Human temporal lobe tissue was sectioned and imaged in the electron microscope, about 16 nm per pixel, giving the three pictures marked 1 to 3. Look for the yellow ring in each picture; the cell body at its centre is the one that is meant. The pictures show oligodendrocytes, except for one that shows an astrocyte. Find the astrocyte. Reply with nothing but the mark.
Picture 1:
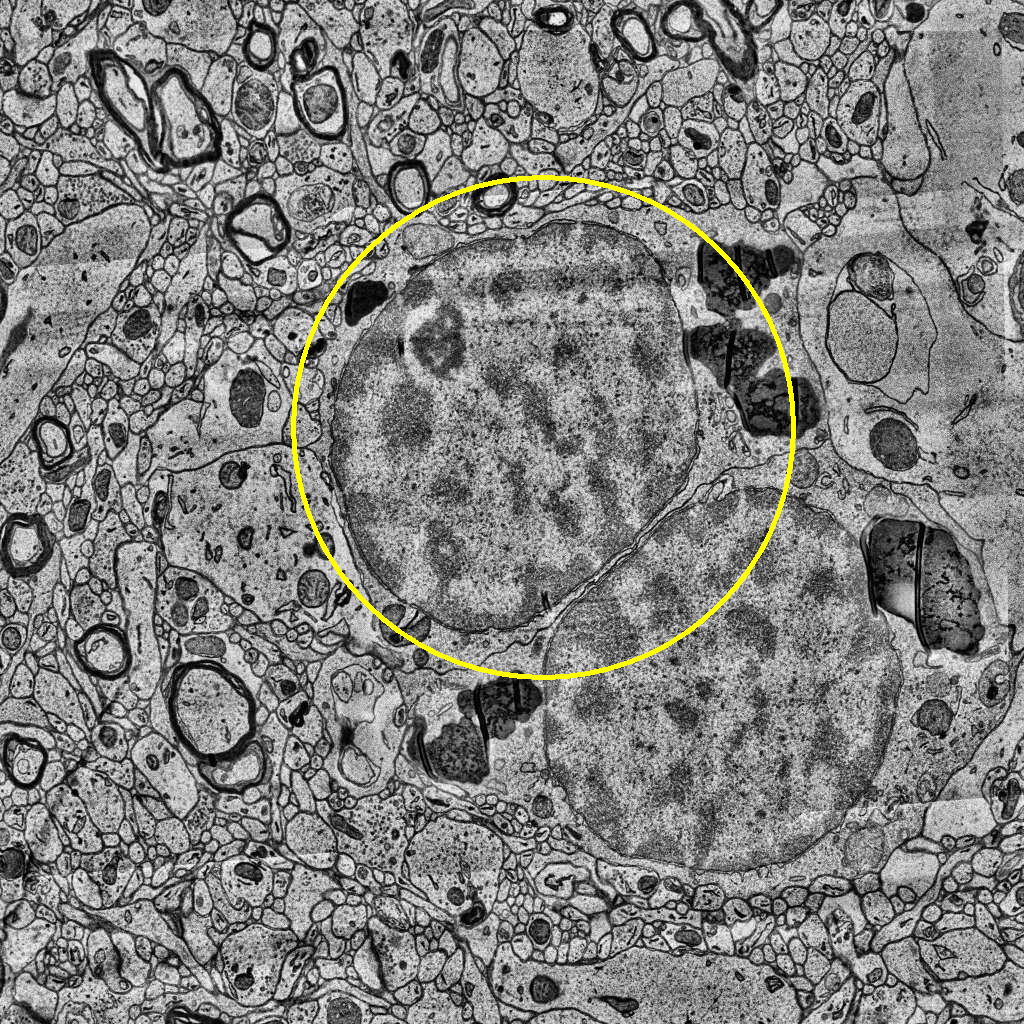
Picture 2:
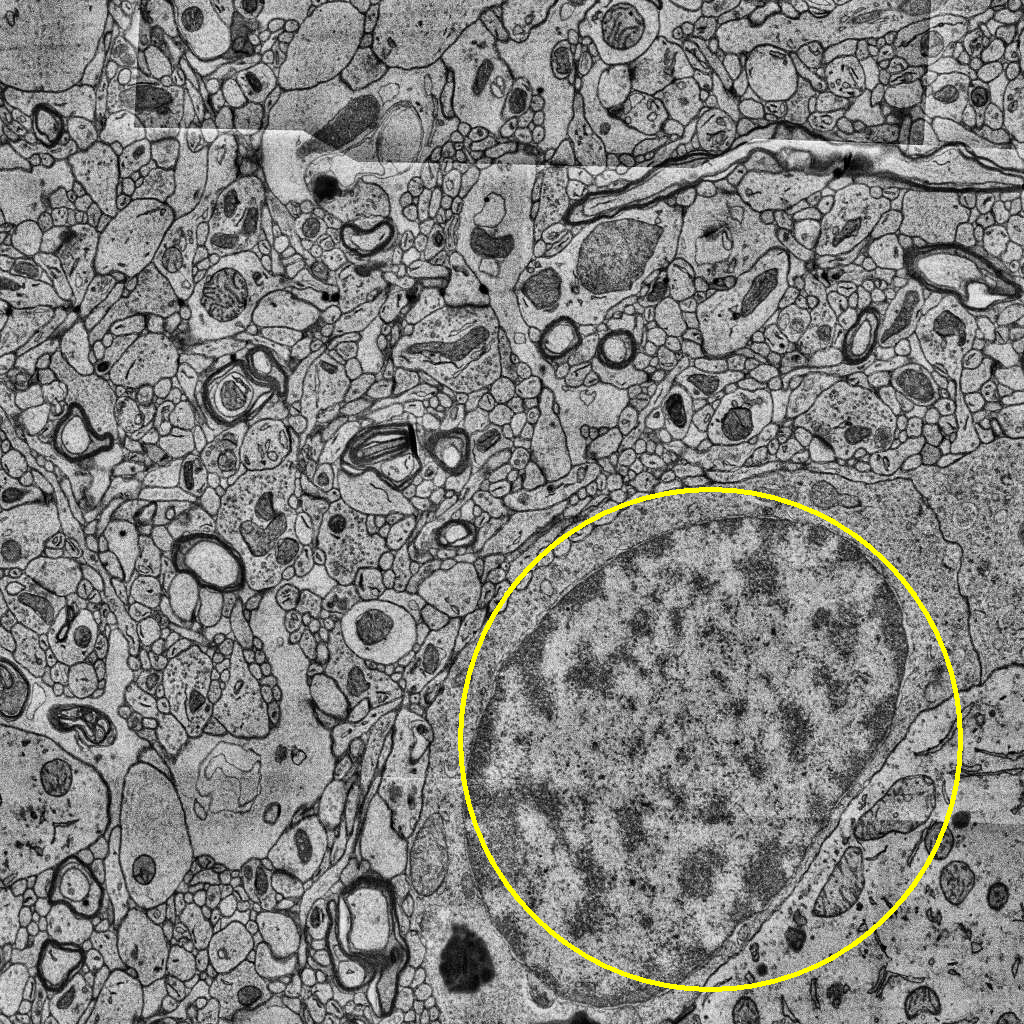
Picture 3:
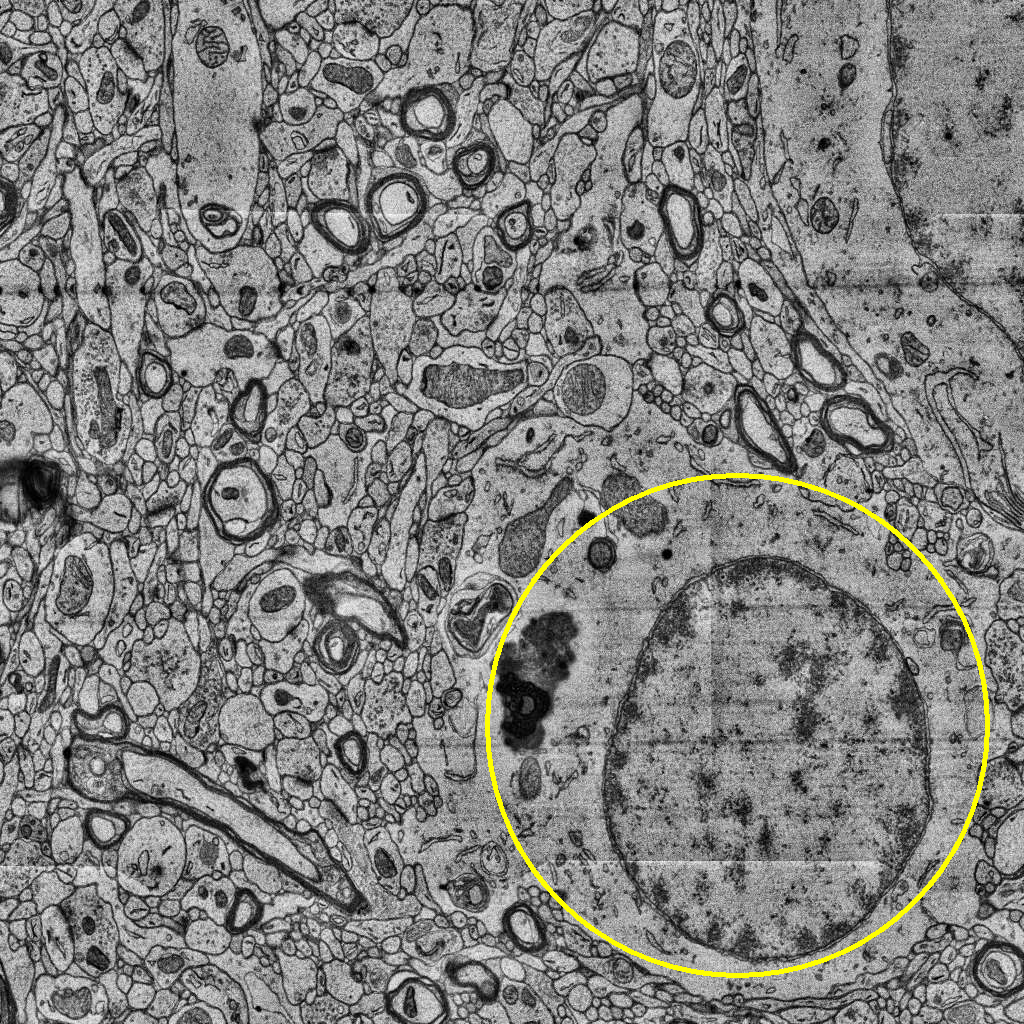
3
